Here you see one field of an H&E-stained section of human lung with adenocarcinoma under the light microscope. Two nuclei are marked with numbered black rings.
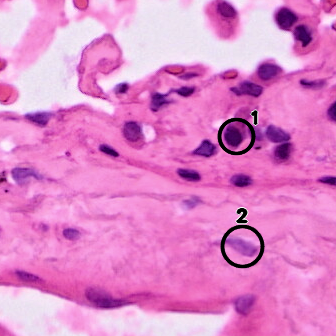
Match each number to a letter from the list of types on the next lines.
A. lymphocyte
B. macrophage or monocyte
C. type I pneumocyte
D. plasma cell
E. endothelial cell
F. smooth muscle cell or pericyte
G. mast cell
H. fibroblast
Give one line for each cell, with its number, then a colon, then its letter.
1: D
2: H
